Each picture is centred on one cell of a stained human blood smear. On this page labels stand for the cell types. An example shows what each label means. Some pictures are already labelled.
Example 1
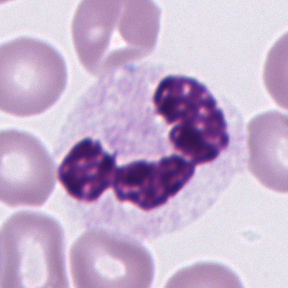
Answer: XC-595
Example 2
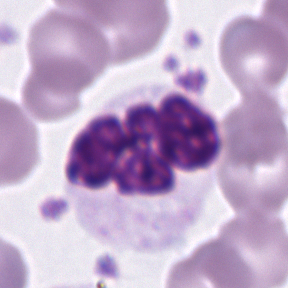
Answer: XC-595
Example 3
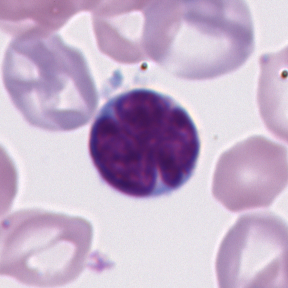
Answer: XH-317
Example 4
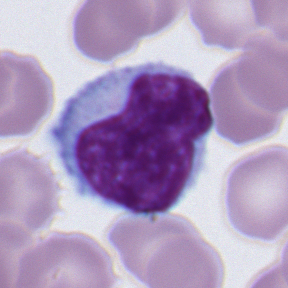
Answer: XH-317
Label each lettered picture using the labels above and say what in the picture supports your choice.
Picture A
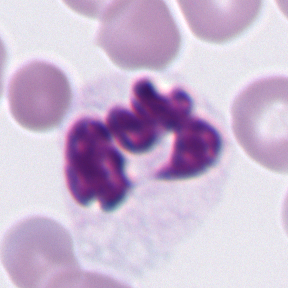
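XC-595. Reason: The nucleus is divided into several separate lobes in a curved chain.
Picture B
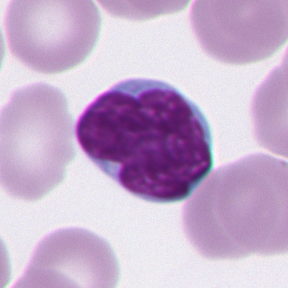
XH-317. Reason: The cytoplasm forms only a thin rim around the nucleus.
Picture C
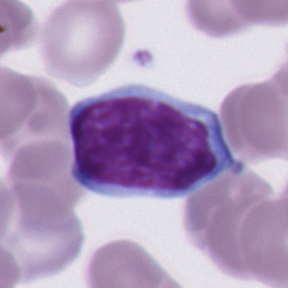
XH-317. Reason: The cytoplasm forms a narrow pale blue rim around the nucleus.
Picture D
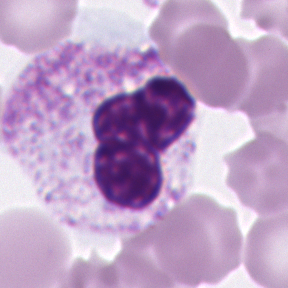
XC-595. Reason: The cytoplasm is abundant and pale, filling most of the cell's left part.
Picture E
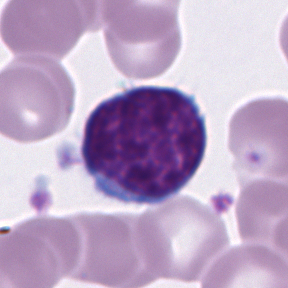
XH-317. Reason: The cytoplasm forms a thin rim that is widest at the lower left of the cell.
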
